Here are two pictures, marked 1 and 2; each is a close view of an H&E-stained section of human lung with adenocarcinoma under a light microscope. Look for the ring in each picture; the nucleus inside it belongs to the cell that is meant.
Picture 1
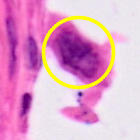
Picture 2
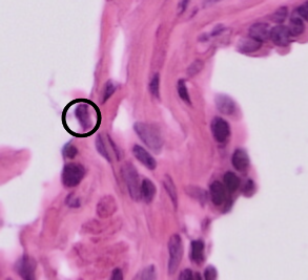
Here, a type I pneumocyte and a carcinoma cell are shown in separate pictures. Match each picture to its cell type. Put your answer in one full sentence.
In picture 1 the cell is a carcinoma cell; in picture 2, a type I pneumocyte.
